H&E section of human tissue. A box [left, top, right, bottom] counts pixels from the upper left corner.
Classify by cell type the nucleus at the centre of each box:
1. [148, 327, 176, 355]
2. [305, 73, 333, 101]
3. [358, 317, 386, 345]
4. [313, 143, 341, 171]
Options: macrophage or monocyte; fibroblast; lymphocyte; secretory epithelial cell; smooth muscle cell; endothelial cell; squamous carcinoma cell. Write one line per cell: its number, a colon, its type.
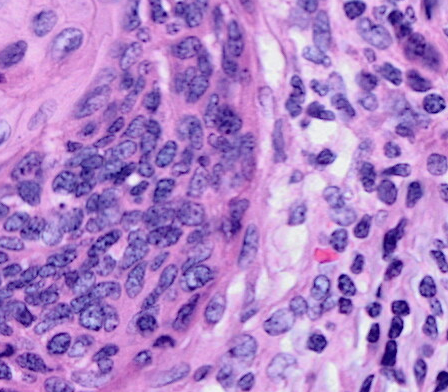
1: squamous carcinoma cell
2: lymphocyte
3: lymphocyte
4: lymphocyte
